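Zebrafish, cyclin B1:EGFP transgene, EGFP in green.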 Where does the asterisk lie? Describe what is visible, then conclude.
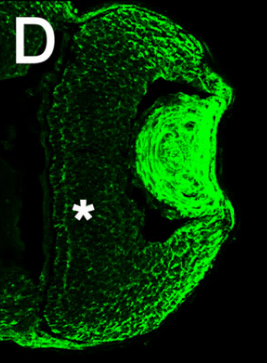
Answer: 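The asterisk lies in the middle of the retinal tissue, opposite the brightly green lens. Green signal around the asterisk is weaker than near the rims. So: central retina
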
